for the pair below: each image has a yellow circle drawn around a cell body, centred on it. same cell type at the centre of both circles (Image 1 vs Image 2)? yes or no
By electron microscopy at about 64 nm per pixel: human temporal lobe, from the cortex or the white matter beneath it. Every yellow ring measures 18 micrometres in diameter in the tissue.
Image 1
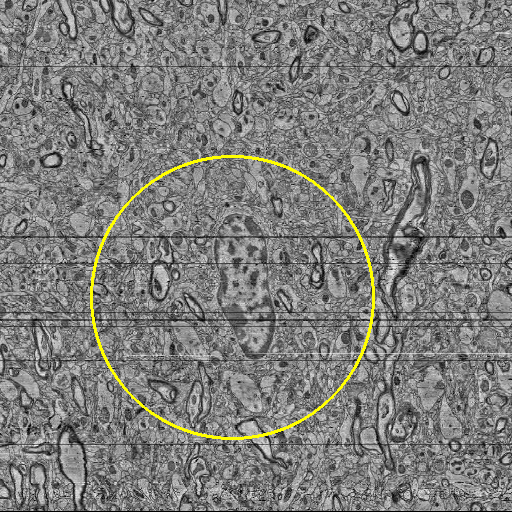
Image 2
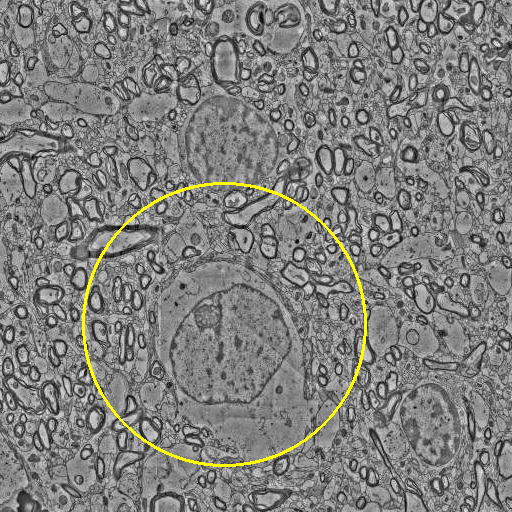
no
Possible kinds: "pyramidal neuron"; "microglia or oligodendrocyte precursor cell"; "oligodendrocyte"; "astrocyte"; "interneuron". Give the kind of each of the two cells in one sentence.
The cell in the second picture is an astrocyte, and that in the first is a microglial cell or oligodendrocyte precursor cell.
